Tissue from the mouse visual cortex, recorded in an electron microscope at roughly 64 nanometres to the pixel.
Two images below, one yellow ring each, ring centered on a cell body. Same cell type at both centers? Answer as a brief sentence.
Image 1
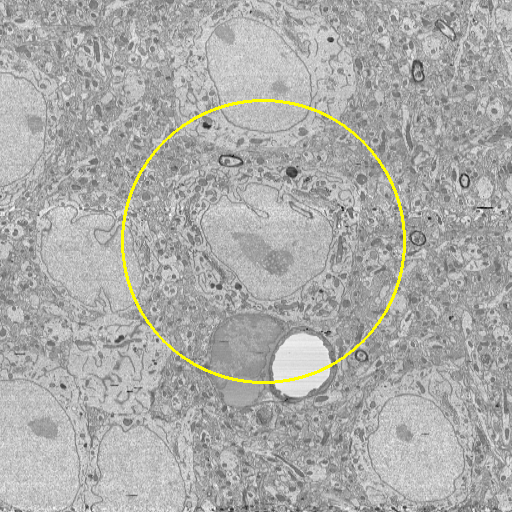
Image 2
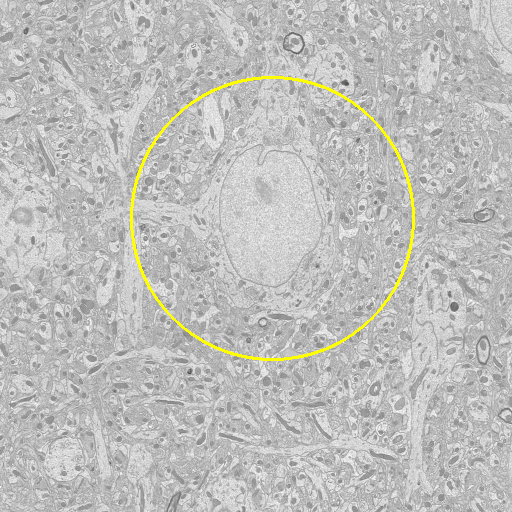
No, the cells are of two separate types.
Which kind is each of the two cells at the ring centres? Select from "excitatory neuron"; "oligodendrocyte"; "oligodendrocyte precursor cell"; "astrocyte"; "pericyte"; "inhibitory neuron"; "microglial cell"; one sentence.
The cell at the centre of the ring is an inhibitory neuron in the first picture and an excitatory neuron in the second.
